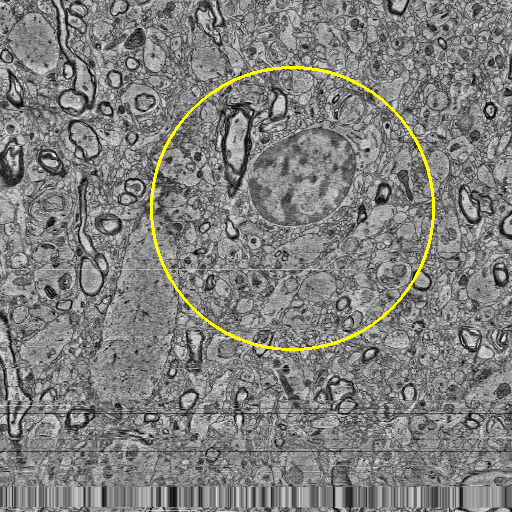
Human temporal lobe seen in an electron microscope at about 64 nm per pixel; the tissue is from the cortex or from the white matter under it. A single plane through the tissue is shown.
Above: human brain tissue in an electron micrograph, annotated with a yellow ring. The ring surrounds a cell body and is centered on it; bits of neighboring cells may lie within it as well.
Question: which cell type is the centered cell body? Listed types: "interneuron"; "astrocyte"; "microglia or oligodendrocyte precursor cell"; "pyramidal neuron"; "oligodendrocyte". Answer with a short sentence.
The centered cell body is a microglial cell or oligodendrocyte precursor cell.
